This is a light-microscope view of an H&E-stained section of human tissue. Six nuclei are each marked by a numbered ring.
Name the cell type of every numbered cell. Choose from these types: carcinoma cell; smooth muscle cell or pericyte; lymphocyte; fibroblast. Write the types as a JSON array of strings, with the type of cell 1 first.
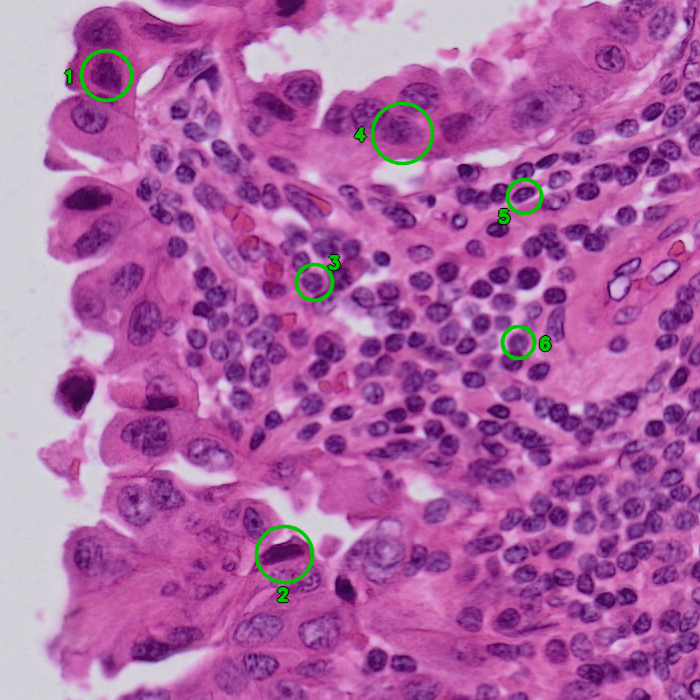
["carcinoma cell", "carcinoma cell", "lymphocyte", "carcinoma cell", "lymphocyte", "lymphocyte"]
